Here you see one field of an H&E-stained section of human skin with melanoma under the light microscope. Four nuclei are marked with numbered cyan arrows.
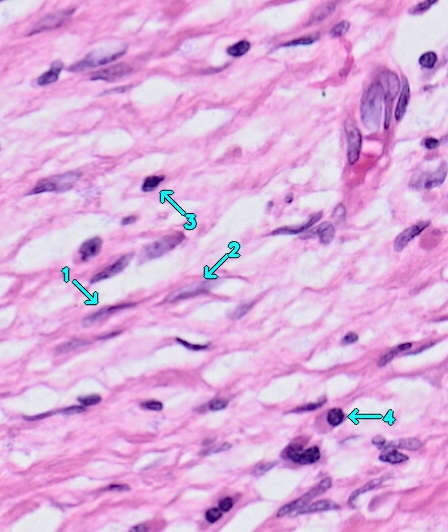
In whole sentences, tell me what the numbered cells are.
Cell 1 is a fibroblast or myofibroblast, cell 2 is a fibroblast or myofibroblast, cell 3 is a lymphocyte and cell 4 is a plasma cell.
